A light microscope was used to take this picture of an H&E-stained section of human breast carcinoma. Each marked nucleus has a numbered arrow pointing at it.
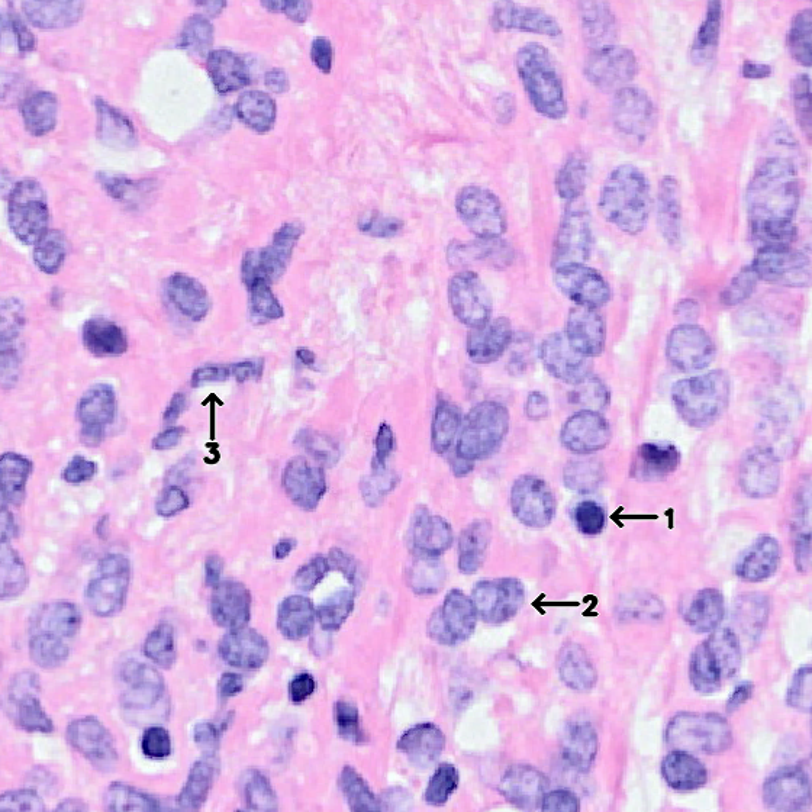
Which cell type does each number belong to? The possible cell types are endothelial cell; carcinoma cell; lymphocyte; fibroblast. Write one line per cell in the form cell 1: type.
cell 1: lymphocyte
cell 2: carcinoma cell
cell 3: endothelial cell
